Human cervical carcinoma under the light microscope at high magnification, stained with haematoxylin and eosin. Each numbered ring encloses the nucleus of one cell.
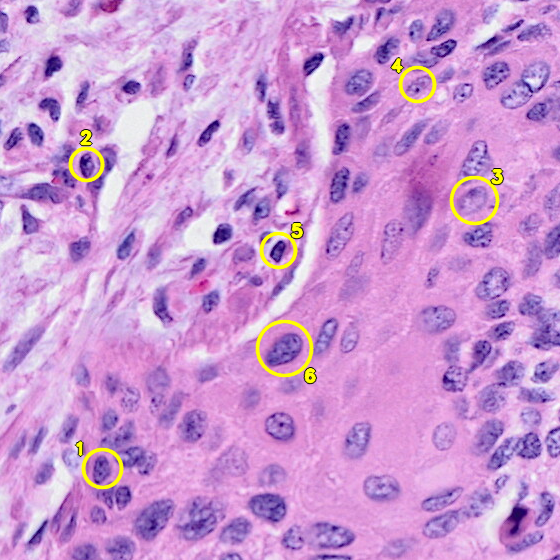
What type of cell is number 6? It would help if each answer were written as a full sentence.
The cell bearing label 6 corresponds to a squamous carcinoma cell.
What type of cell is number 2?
Marked with the number 2, this cell is a lymphocyte.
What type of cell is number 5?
The cell identified by number 5 is a lymphocyte.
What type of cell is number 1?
It is as a squamous carcinoma cell that the cell numbered 1 is identified.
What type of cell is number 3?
Nucleus 3 in this section belongs to a squamous carcinoma cell.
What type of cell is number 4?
The cell marked with number 4 is a squamous carcinoma cell.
